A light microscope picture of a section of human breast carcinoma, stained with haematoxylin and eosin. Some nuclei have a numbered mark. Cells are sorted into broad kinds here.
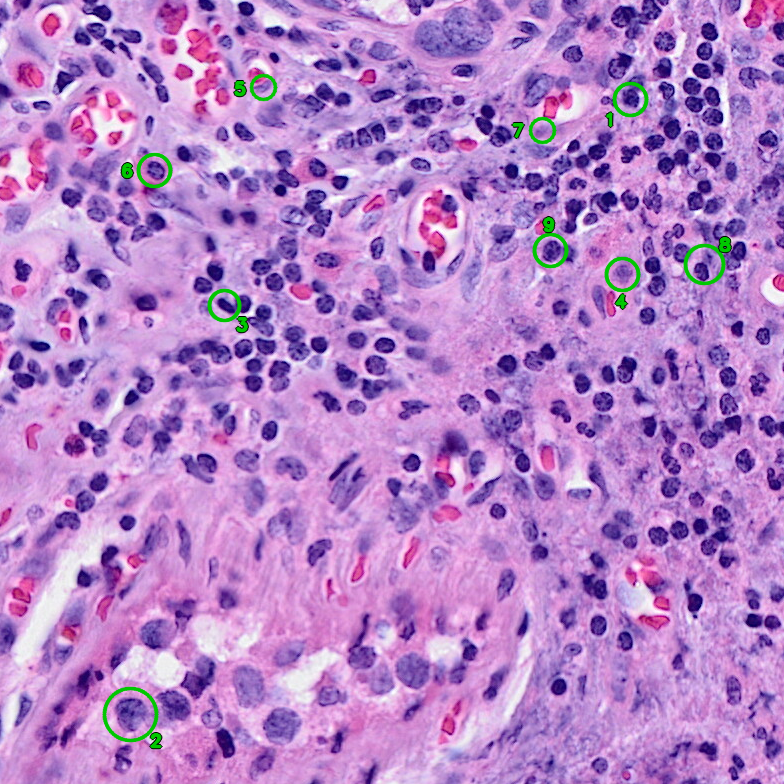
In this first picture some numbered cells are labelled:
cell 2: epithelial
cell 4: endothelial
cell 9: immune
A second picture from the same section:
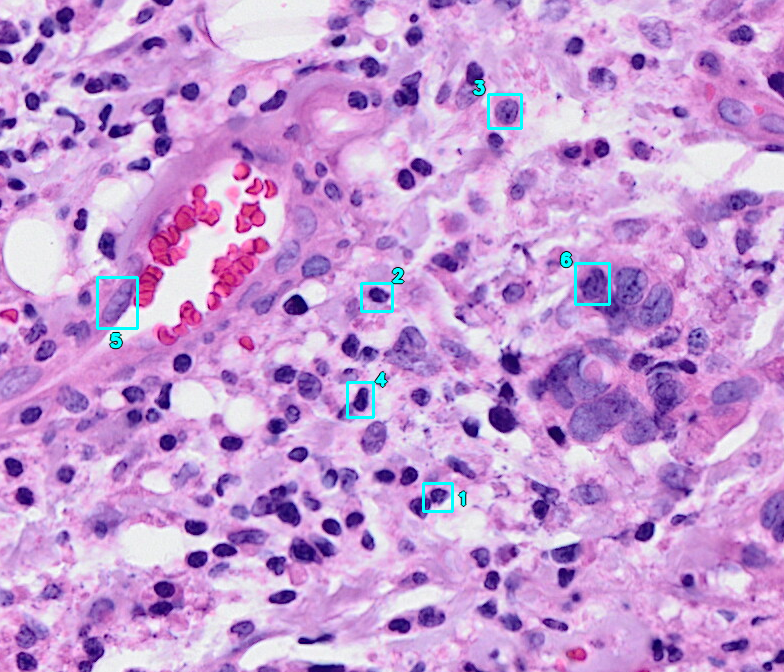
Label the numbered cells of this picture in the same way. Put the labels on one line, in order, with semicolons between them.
immune; immune; immune; immune; endothelial; epithelial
